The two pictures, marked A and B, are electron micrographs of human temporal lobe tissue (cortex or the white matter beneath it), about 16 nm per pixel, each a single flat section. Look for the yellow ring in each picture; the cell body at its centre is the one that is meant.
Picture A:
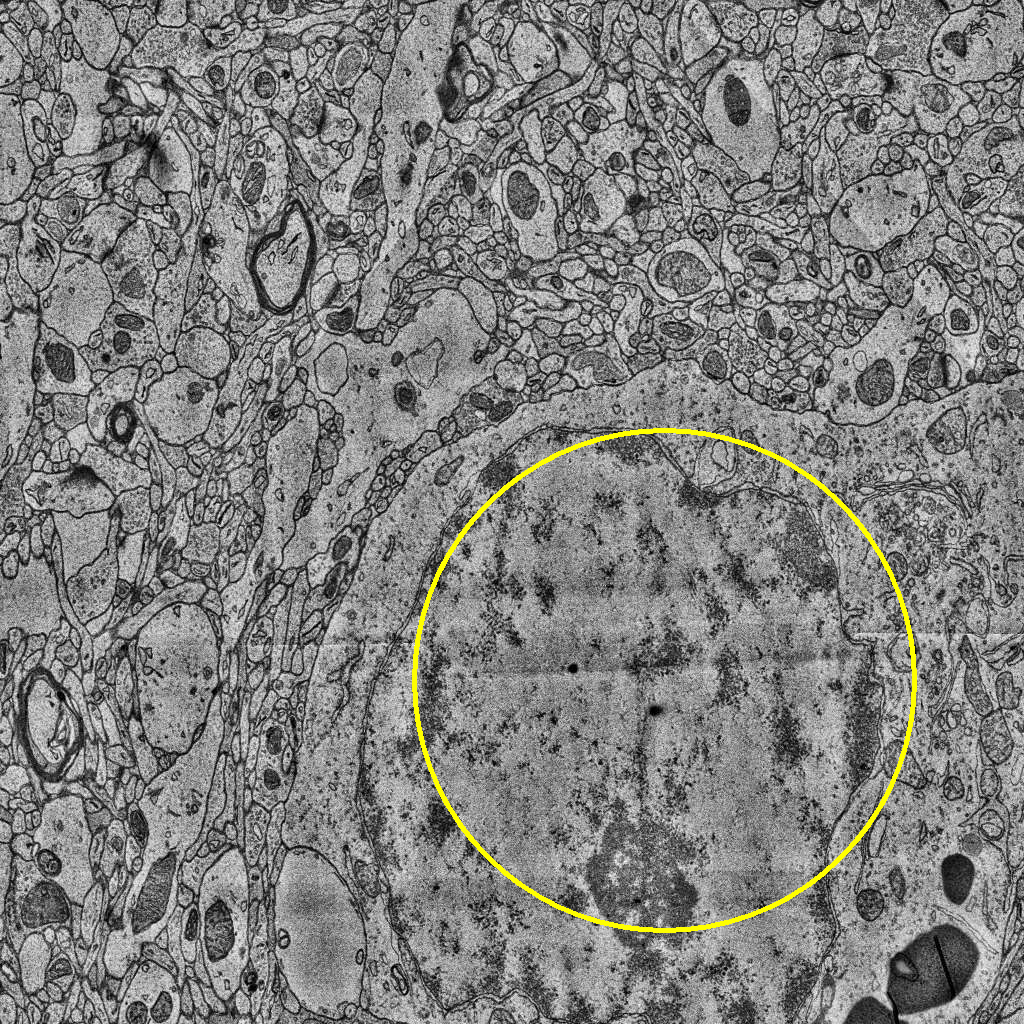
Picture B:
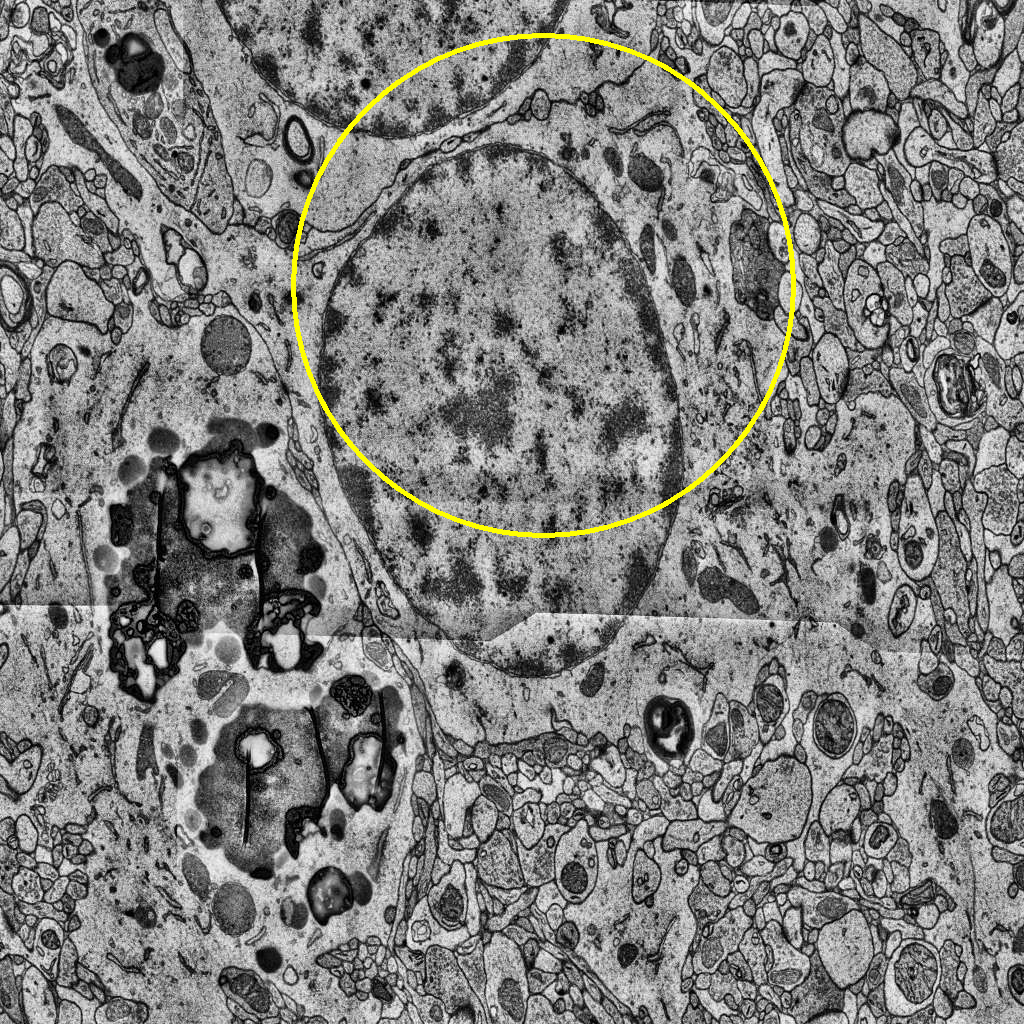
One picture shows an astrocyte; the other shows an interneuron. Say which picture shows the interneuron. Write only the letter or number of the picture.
A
